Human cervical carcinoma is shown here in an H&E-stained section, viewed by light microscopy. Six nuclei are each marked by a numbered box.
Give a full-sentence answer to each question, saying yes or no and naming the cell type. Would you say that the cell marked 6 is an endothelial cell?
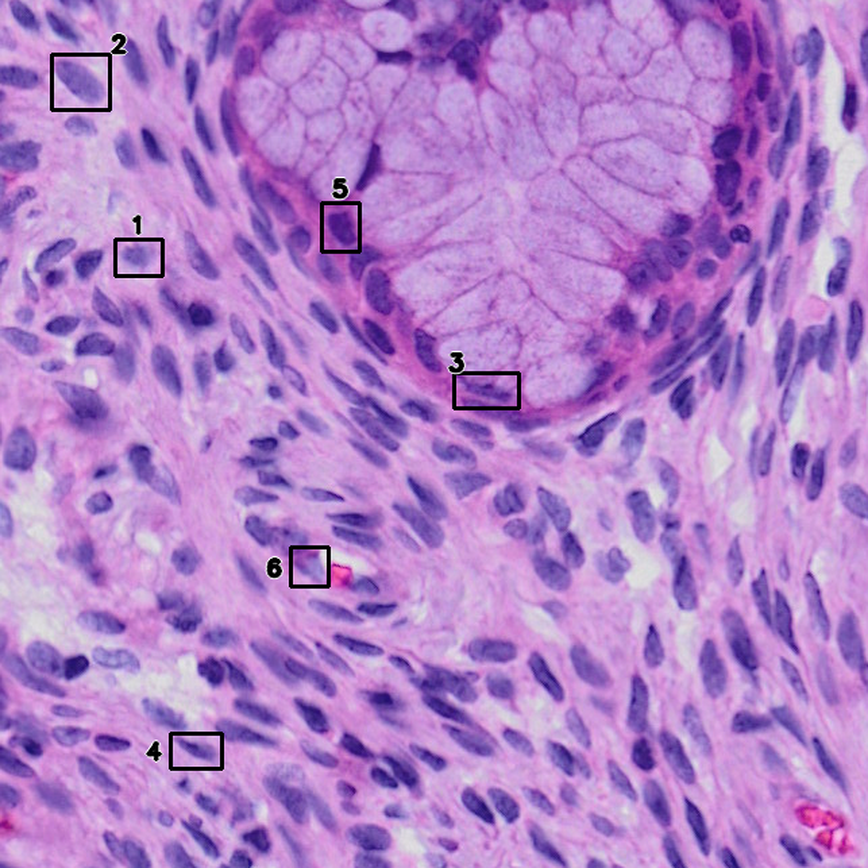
Yes, the number 6 belongs to an endothelial cell.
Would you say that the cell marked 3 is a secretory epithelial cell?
Yes, the marked cell with number 3 is a secretory epithelial cell.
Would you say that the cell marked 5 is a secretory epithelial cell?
Yes, the numbered cell 5 is a secretory epithelial cell.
